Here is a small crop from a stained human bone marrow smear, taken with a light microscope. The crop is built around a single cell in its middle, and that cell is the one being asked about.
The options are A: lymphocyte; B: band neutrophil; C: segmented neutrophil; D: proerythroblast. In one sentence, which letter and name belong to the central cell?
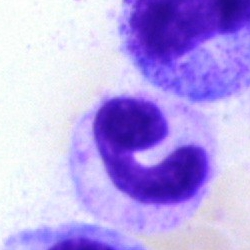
Option B is correct here, and the cell in the middle is a band neutrophil.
